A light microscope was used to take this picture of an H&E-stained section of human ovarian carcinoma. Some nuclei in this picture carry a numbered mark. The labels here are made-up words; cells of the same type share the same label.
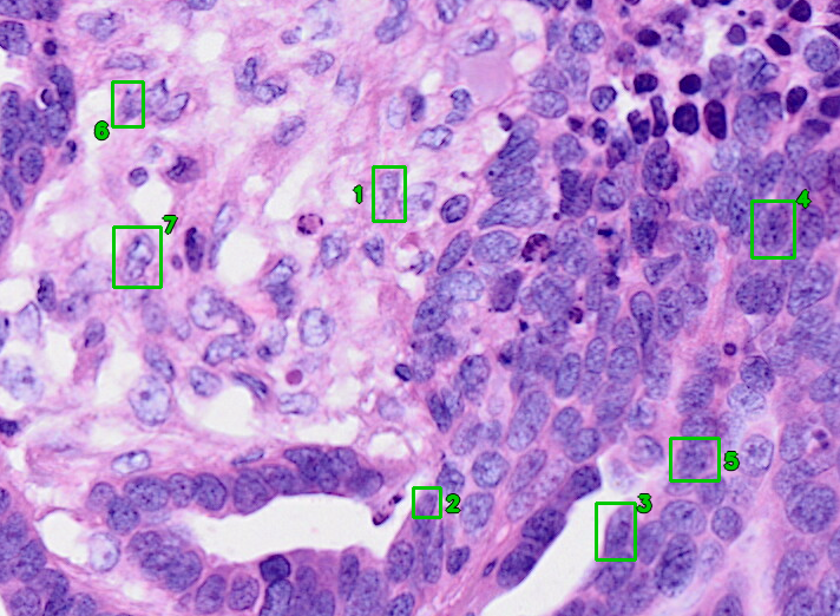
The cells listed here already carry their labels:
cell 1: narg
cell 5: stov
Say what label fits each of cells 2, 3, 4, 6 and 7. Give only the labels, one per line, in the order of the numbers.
stov
stov
stov
narg
narg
